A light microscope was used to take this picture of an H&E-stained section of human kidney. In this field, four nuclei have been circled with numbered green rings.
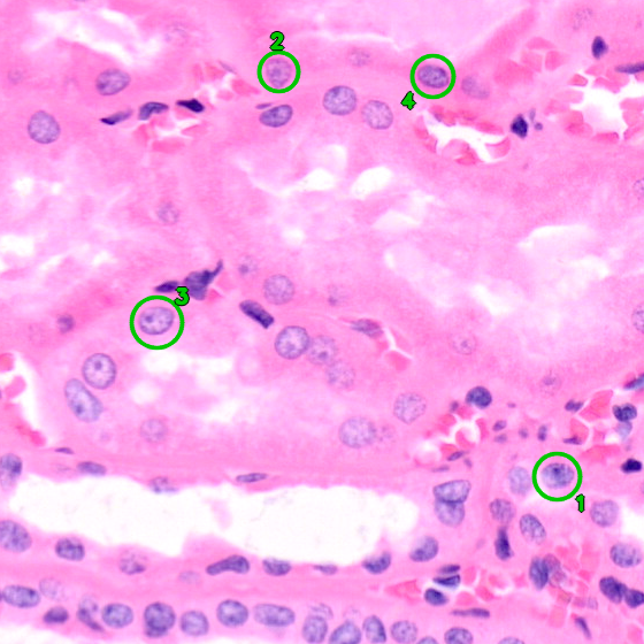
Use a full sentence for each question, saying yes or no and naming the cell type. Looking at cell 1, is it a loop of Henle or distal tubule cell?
Yes, the cell with its nucleus marked 1 is a loop of Henle or distal tubule cell.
